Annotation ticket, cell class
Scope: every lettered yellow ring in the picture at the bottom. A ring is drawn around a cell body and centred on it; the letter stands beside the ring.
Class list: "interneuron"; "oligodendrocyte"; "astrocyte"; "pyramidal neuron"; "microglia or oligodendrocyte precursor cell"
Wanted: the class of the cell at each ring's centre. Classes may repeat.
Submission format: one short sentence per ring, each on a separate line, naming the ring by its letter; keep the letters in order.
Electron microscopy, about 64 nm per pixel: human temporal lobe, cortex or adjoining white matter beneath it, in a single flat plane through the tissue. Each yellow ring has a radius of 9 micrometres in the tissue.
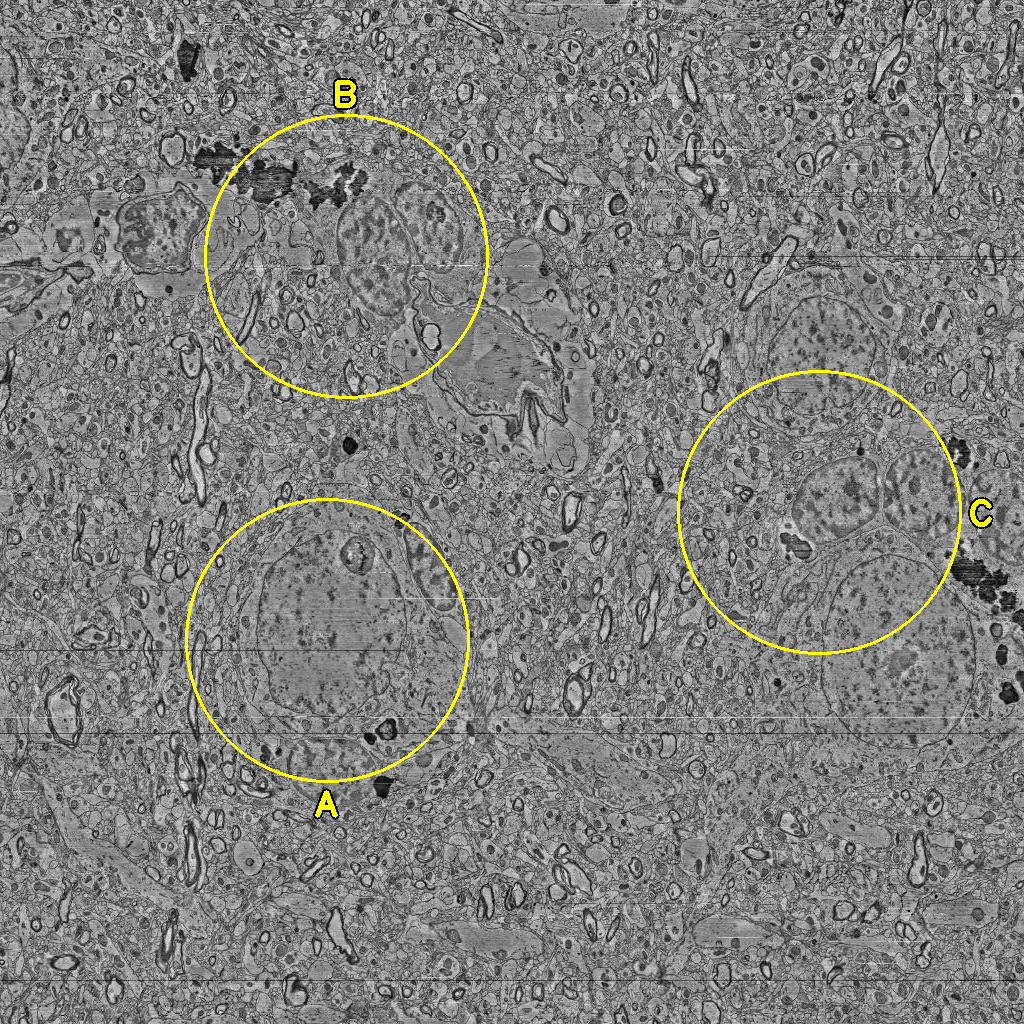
The centre of ring A is occupied by a pyramidal neuron.
The centre of ring B is occupied by an oligodendrocyte.
The centre of ring C is occupied by an oligodendrocyte.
